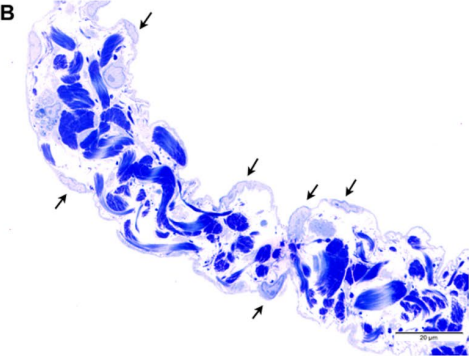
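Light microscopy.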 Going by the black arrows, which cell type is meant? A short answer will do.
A: Mesothelial cells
